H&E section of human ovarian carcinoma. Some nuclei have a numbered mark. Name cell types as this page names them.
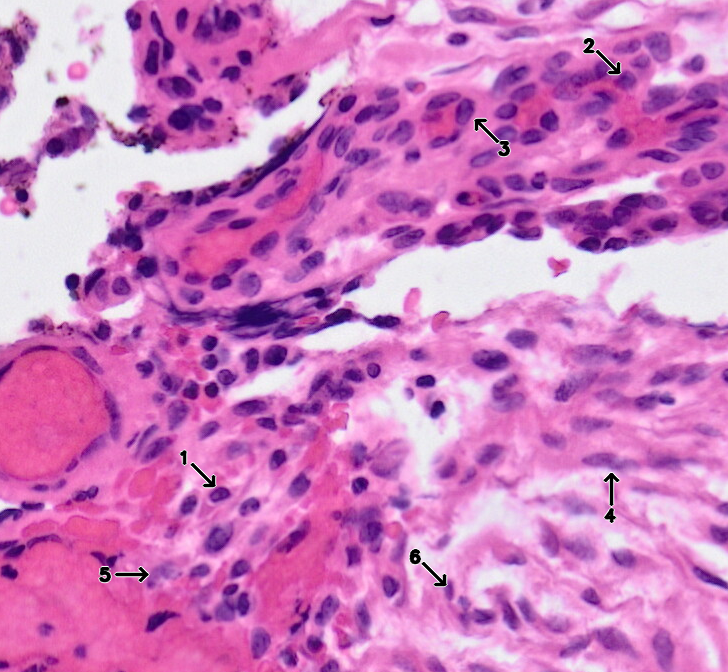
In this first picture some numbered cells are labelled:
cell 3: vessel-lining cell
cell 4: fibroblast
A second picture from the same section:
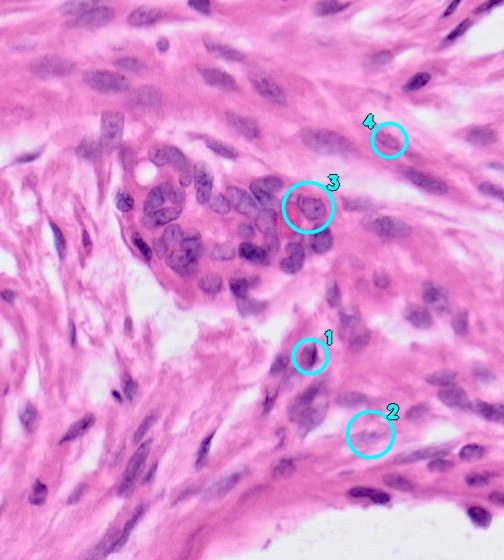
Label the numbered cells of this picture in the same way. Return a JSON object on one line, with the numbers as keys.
{"1": "fibroblast", "2": "fibroblast", "3": "vessel-lining cell", "4": "fibroblast"}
